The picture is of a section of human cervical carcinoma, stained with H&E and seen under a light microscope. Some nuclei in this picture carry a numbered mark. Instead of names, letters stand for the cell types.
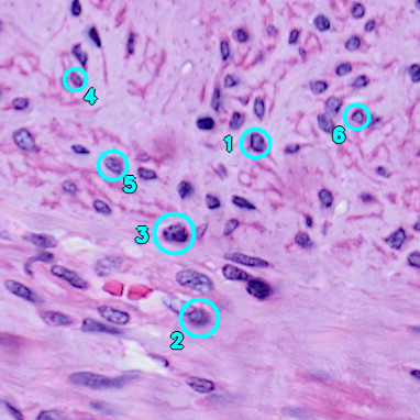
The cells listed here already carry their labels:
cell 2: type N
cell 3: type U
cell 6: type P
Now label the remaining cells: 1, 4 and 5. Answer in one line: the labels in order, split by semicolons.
type P; type P; type P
